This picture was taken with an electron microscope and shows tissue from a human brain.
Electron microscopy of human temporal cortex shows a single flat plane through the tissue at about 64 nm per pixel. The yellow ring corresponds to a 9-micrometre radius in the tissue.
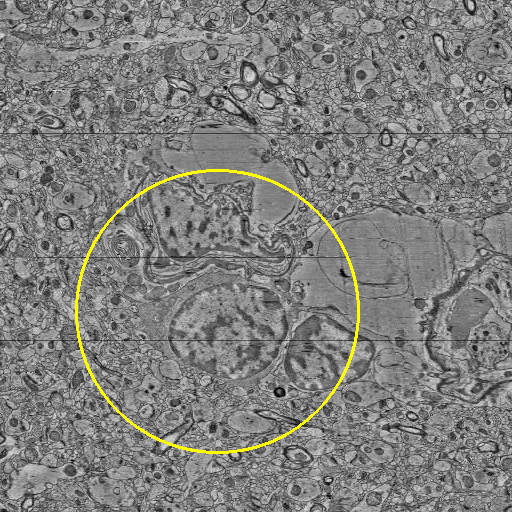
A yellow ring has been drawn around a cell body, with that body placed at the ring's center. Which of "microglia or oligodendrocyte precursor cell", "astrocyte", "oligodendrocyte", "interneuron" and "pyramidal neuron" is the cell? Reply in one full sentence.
In this picture, an oligodendrocyte is the cell at the center of the yellow ring.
